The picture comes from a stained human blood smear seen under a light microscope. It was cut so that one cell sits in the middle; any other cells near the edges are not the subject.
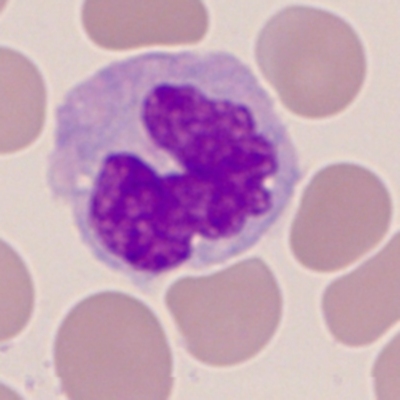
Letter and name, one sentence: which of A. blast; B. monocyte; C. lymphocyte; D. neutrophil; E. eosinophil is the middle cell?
The correct option here is B; the middle cell is a monocyte.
